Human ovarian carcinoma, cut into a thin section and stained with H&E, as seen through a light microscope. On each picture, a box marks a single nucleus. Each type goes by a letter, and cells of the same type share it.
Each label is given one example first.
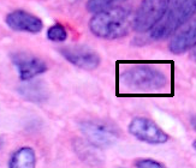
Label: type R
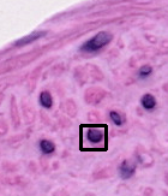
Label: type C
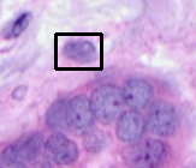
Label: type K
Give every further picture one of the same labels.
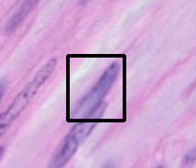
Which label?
type C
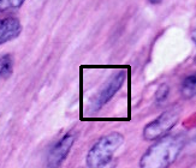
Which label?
type R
